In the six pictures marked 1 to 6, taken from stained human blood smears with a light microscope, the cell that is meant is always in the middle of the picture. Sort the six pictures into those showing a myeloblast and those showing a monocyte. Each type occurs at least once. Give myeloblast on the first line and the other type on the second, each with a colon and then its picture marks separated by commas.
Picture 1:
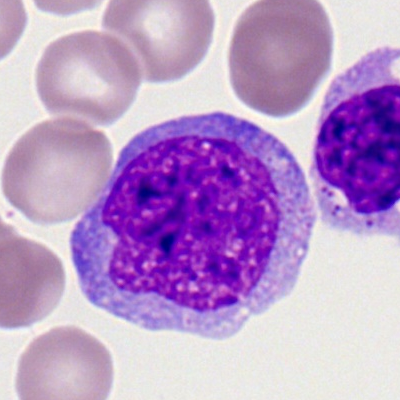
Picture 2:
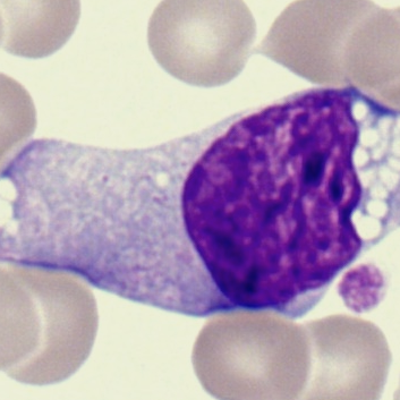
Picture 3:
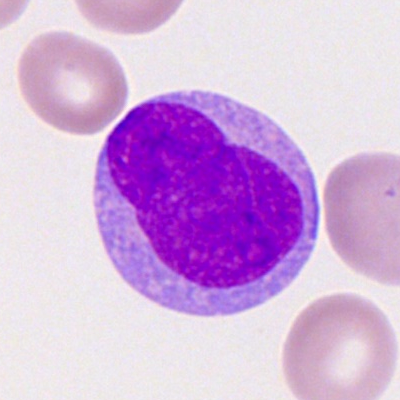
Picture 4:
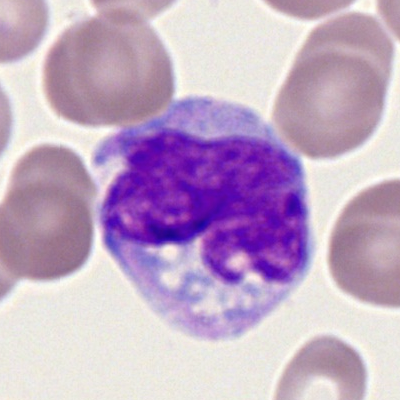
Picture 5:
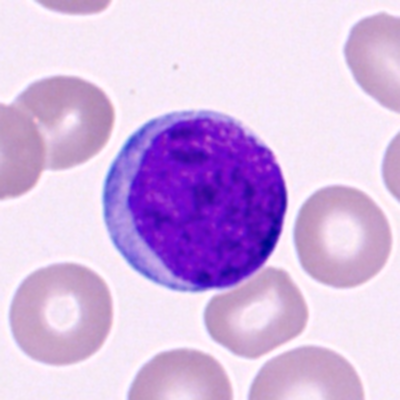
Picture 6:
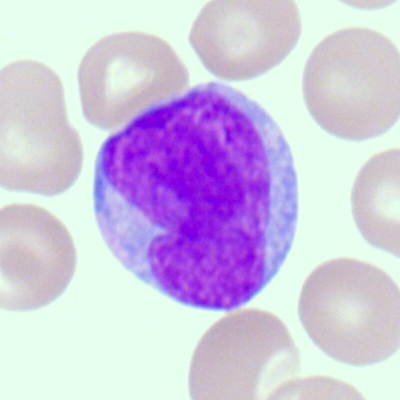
myeloblast: 3, 5, 6
monocyte: 1, 2, 4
